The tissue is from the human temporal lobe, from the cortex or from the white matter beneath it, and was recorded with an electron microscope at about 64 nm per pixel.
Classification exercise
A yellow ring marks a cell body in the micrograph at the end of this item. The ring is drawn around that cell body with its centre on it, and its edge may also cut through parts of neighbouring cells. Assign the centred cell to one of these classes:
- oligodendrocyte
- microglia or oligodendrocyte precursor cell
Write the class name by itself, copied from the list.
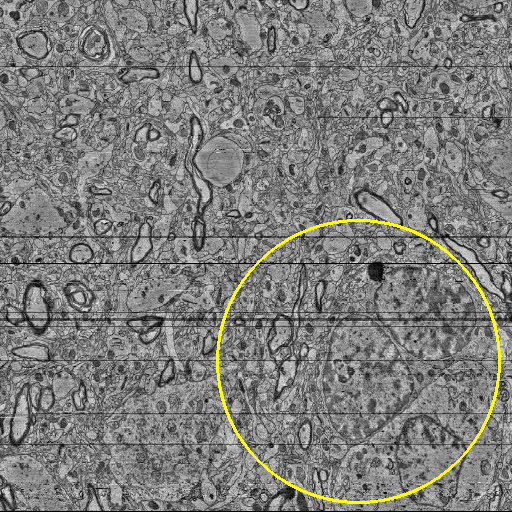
oligodendrocyte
